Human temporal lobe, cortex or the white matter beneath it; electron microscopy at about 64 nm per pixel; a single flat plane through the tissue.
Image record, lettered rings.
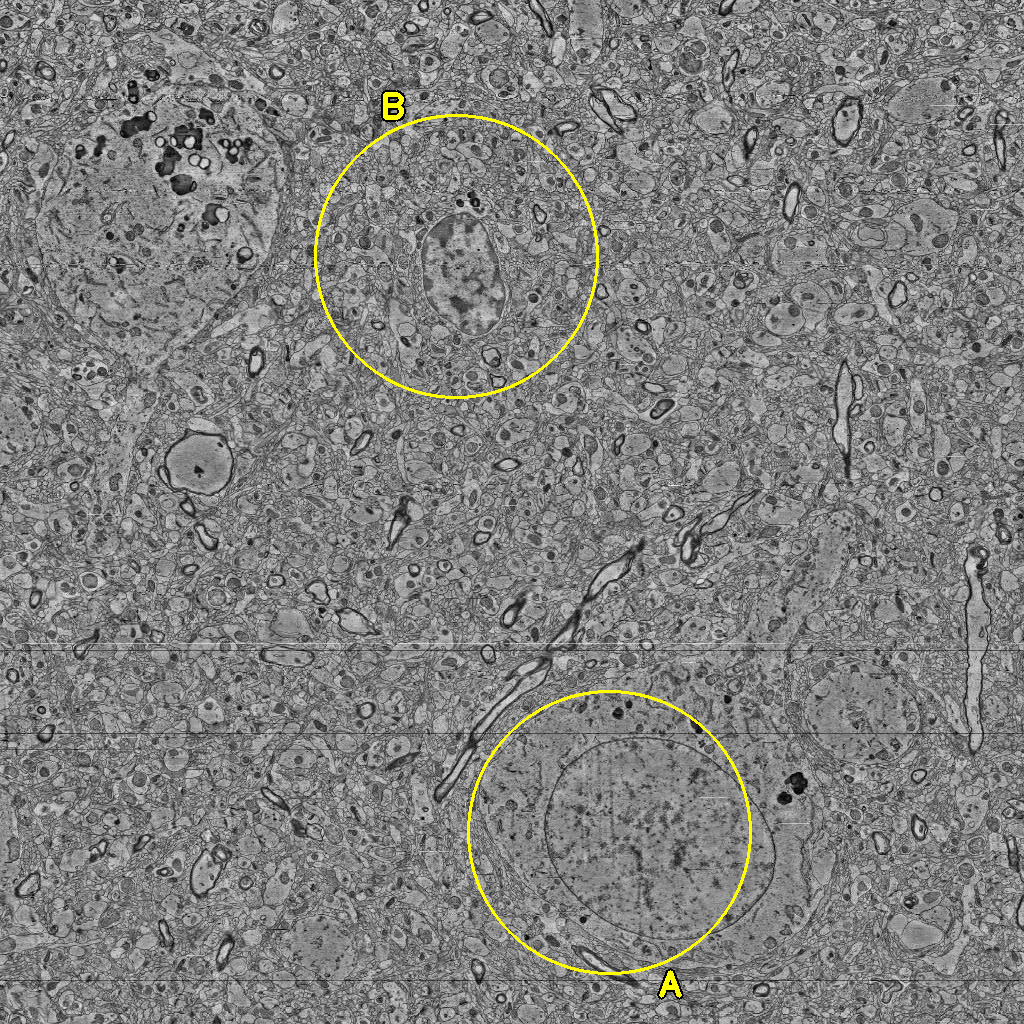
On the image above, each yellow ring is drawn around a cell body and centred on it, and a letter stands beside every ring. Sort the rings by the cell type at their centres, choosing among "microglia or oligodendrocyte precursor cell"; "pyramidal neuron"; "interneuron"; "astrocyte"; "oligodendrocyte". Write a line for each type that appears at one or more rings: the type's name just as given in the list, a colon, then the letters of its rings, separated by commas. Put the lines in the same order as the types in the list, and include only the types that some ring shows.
microglia or oligodendrocyte precursor cell: B
pyramidal neuron: A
